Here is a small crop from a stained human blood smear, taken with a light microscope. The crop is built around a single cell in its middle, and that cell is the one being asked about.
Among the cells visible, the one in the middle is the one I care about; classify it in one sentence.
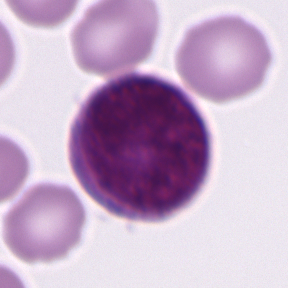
As for the central cell, it is a myeloblast.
